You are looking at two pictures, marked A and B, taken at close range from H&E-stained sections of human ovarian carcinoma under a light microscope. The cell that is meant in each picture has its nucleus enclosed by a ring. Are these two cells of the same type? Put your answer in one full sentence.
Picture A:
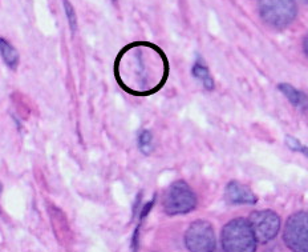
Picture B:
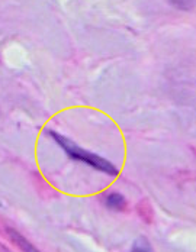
Yes; the cells in both pictures are fibroblasts.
